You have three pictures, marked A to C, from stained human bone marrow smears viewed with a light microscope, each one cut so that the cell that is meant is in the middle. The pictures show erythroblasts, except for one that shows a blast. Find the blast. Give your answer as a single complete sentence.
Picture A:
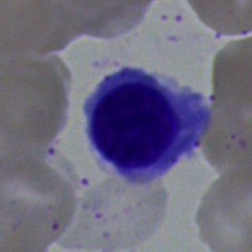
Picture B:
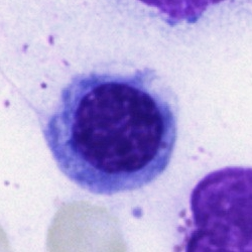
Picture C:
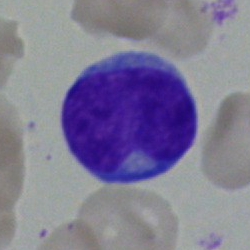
The cell in picture C is the blast.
